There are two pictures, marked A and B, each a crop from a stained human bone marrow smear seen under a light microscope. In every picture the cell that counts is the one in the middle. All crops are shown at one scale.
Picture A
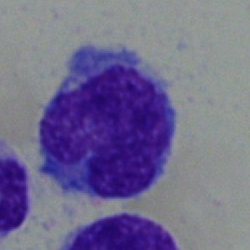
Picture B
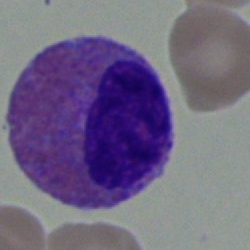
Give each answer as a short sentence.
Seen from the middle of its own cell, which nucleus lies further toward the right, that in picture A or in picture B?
It is the nucleus in picture B that lies further toward the right of its cell.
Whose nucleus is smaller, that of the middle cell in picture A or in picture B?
It is the nucleus in picture B; the one in picture A has about 1.5 times its area.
